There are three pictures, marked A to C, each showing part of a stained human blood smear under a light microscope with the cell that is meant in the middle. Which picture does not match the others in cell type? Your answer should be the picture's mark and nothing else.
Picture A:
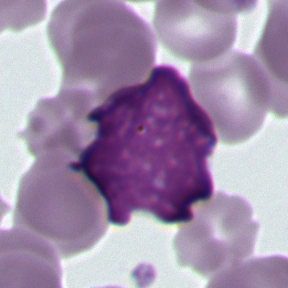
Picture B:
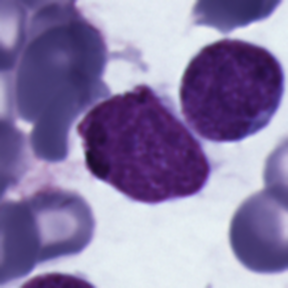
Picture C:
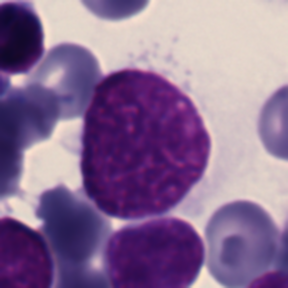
B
